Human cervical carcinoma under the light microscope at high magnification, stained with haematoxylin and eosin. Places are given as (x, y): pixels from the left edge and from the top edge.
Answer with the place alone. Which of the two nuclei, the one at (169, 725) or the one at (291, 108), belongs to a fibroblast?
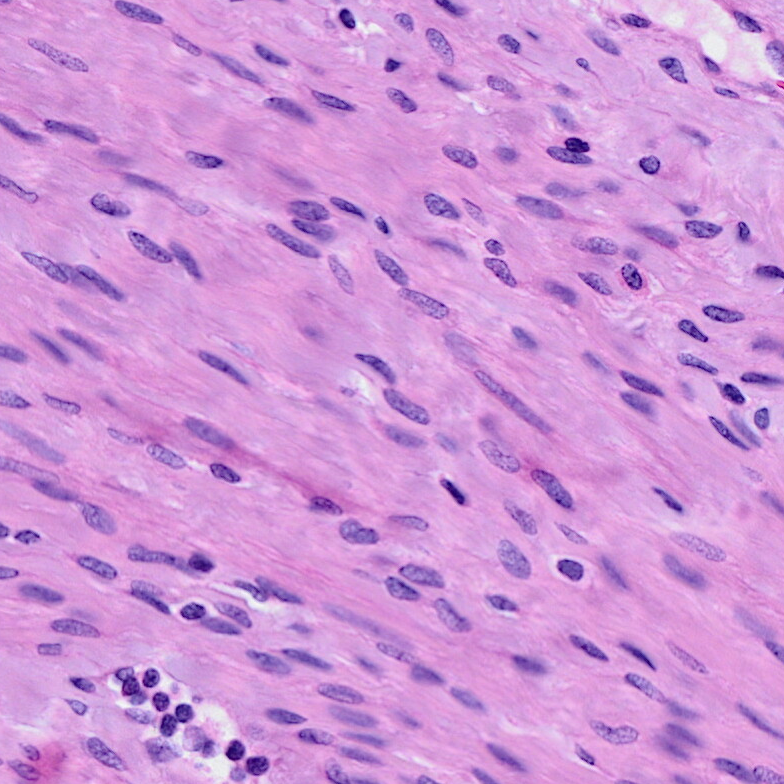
(291, 108)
